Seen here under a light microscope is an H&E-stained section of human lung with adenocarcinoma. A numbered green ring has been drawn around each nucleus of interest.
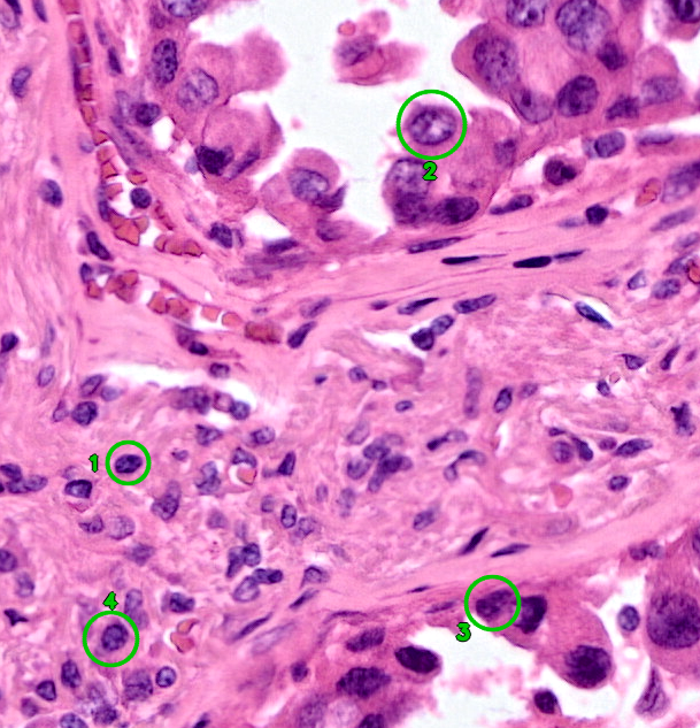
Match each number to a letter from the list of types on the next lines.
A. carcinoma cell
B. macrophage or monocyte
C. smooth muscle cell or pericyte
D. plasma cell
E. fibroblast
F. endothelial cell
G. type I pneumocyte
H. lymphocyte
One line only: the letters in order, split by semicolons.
H; A; A; D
